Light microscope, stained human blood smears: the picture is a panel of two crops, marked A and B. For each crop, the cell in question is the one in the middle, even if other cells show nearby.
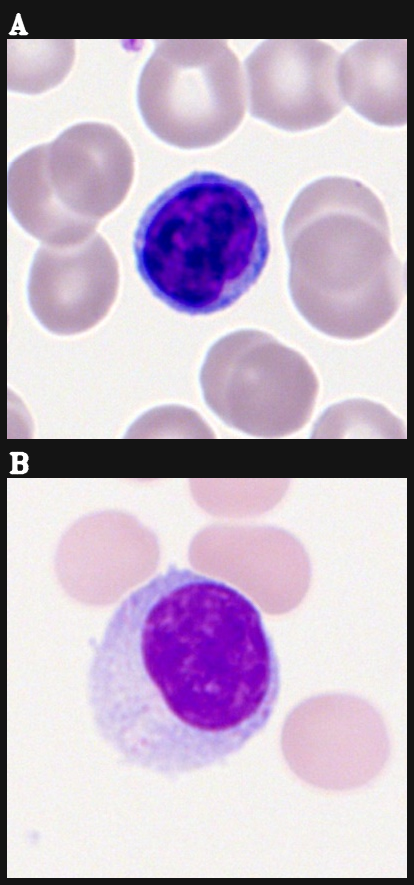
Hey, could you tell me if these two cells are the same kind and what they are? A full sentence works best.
Yes, the cells at the middle of both crops are lymphocytes.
